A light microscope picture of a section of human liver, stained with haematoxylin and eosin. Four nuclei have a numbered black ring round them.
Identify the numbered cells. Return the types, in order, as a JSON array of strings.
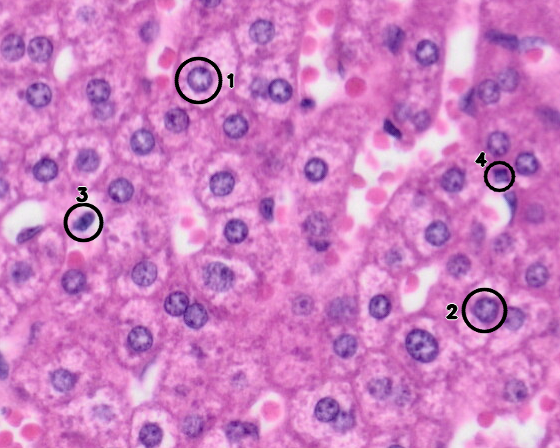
["hepatocyte", "hepatocyte", "lymphocyte", "fibroblast or stellate cell"]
